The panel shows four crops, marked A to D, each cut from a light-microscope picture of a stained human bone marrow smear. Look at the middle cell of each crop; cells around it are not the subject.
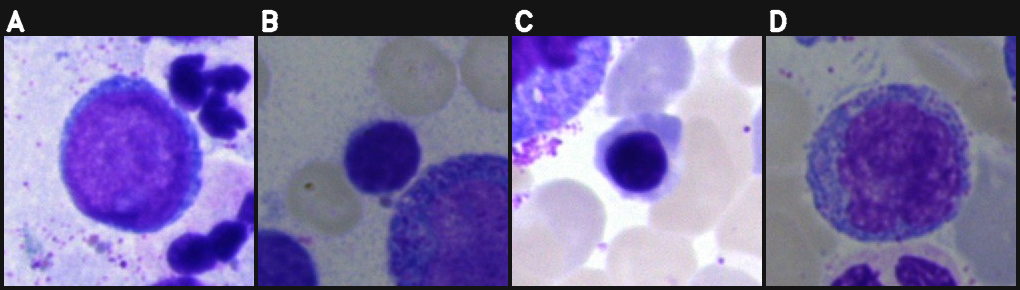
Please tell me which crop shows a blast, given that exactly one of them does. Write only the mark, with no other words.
A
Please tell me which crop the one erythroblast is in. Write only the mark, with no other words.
C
